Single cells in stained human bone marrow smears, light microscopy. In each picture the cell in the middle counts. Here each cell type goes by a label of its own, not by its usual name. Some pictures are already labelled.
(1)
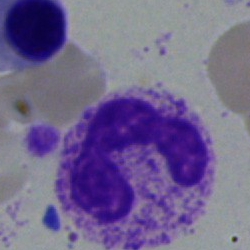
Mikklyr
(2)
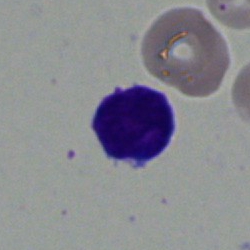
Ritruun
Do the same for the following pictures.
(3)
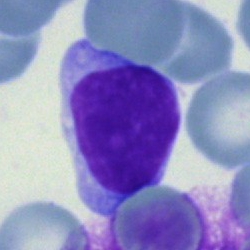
Ritruun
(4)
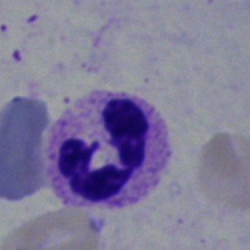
Mikklyr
